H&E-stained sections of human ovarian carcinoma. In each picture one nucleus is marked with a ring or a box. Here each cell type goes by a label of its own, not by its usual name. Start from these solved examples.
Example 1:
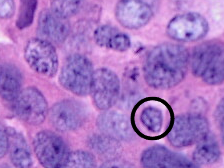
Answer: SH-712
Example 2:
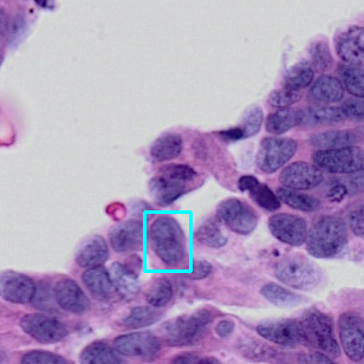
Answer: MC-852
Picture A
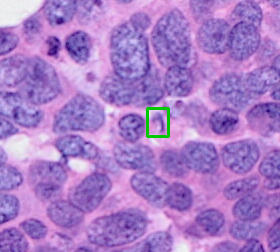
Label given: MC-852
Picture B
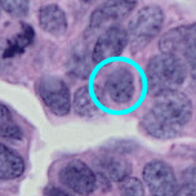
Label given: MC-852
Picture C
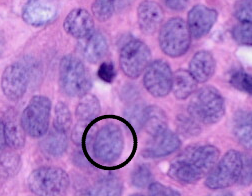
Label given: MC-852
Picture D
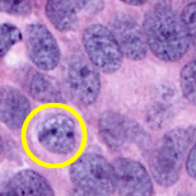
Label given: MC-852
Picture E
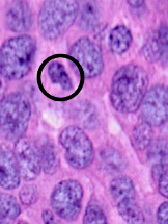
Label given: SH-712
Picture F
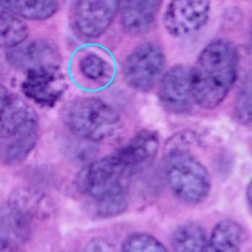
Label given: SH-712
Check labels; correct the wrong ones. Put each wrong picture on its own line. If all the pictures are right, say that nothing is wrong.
Wrong: A (MC-852); correct: SH-712
Wrong: D (MC-852); correct: SH-712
